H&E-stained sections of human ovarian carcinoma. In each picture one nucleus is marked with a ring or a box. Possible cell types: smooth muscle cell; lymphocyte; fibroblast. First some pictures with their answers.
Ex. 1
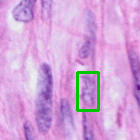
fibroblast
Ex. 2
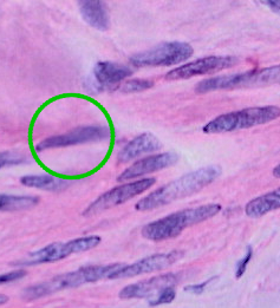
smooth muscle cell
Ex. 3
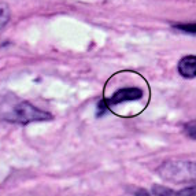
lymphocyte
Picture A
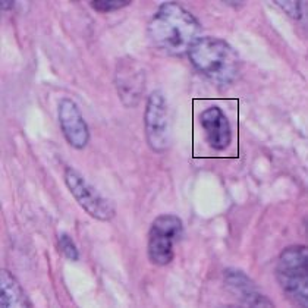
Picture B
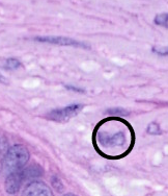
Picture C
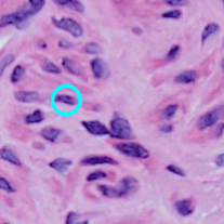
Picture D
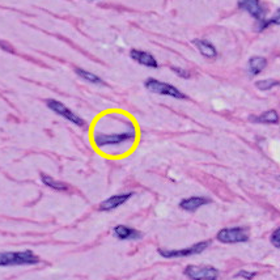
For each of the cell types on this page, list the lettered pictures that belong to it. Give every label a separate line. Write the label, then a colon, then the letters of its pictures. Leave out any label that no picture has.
smooth muscle cell: C
lymphocyte: A
fibroblast: B, D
